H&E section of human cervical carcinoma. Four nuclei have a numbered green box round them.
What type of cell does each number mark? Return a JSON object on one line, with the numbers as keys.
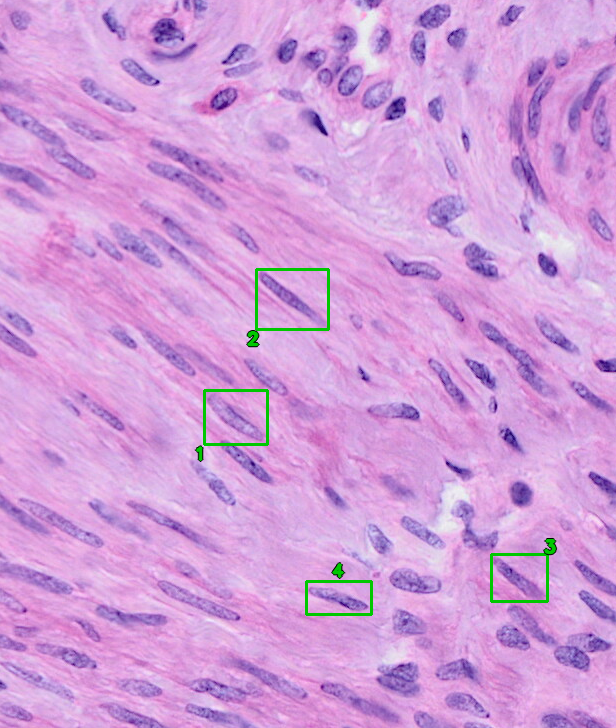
{"1": "smooth muscle cell", "2": "smooth muscle cell", "3": "smooth muscle cell", "4": "fibroblast"}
